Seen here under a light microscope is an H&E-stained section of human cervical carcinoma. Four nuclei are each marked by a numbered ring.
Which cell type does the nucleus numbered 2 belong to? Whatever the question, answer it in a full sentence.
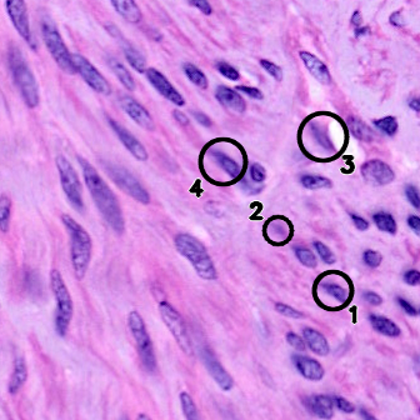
The cell numbered 2 has been identified as a smooth muscle cell.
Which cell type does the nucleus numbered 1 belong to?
The cell that bears the number 1 is a smooth muscle cell.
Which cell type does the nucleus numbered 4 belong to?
In the marked set, the cell given number 4 is a smooth muscle cell.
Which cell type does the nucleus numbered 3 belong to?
Cell 3, as marked in the section, is an endothelial cell.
